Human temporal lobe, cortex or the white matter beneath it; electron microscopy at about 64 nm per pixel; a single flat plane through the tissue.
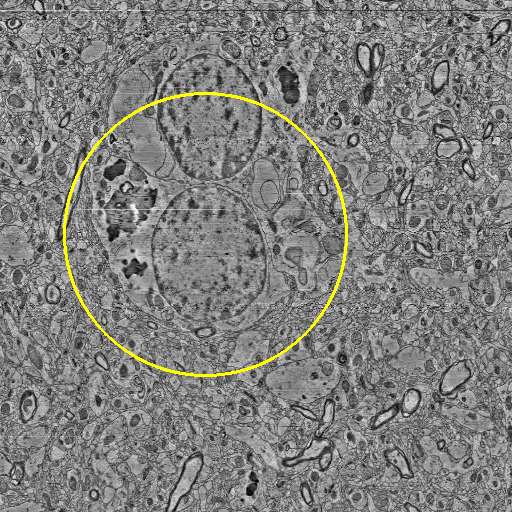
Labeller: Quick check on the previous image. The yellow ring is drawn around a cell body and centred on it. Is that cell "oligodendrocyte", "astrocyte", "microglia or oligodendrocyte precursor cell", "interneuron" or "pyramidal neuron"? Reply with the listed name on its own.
astrocyte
